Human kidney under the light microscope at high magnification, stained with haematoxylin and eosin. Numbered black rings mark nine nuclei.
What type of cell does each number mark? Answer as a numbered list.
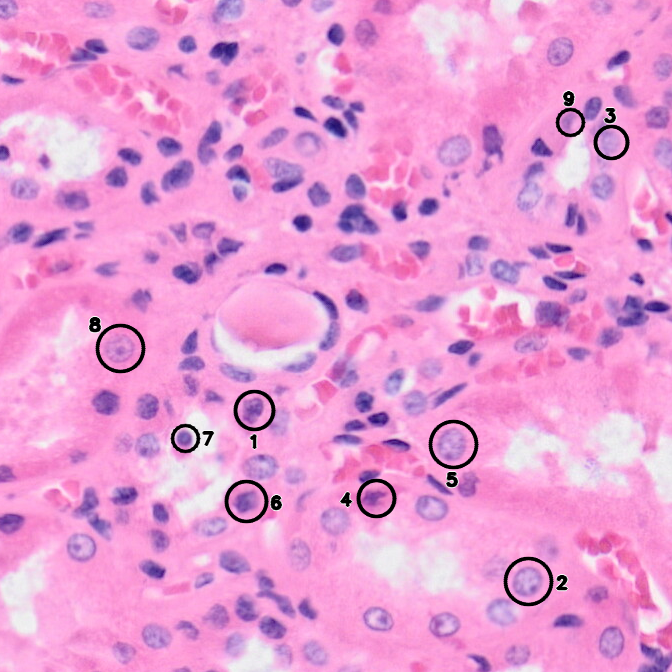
1. loop of Henle or distal tubule cell
2. proximal tubule cell
3. collecting duct cell
4. proximal tubule cell
5. proximal tubule cell
6. loop of Henle or distal tubule cell
7. loop of Henle or distal tubule cell
8. proximal tubule cell
9. collecting duct cell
